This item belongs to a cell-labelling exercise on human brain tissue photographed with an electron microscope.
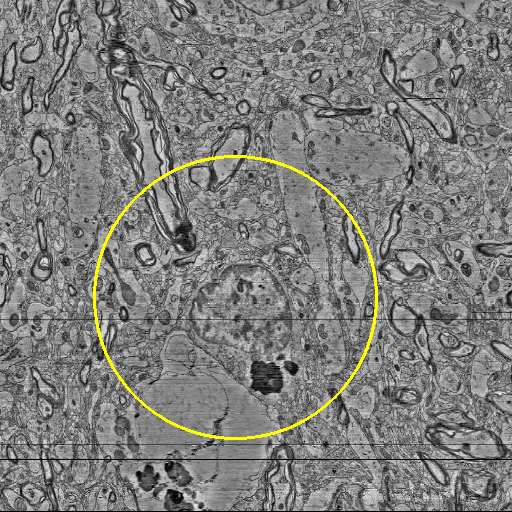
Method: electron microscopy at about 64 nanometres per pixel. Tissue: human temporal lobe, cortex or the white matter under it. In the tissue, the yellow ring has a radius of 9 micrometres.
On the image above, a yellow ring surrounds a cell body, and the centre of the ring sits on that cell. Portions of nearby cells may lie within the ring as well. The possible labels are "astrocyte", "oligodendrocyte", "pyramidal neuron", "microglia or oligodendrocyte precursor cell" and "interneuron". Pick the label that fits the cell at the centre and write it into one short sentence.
This cell should be labelled as an oligodendrocyte.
